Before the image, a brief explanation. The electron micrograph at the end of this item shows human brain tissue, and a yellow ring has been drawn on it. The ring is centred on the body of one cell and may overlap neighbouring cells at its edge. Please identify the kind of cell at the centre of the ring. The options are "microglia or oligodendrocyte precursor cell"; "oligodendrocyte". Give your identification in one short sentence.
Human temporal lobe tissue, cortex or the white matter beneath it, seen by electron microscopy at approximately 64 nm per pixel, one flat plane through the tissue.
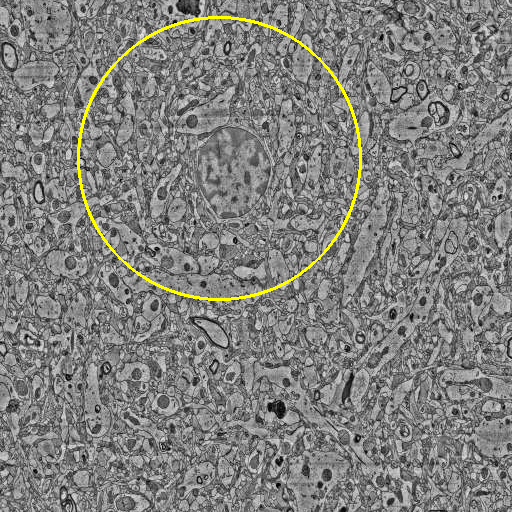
The ring has been placed around a microglial cell or oligodendrocyte precursor cell.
